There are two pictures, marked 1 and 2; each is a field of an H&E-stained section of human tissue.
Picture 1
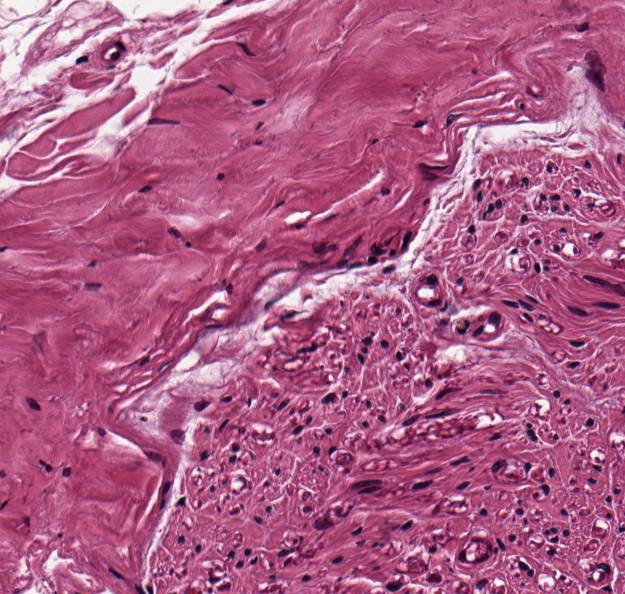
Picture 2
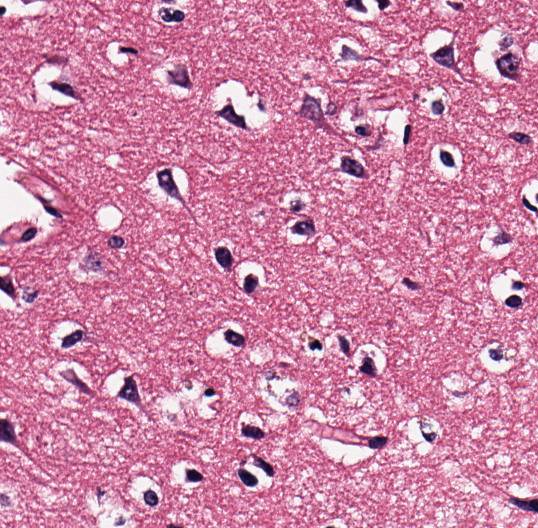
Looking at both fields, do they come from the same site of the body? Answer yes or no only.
no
